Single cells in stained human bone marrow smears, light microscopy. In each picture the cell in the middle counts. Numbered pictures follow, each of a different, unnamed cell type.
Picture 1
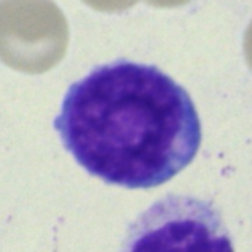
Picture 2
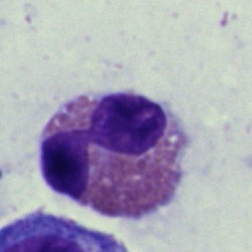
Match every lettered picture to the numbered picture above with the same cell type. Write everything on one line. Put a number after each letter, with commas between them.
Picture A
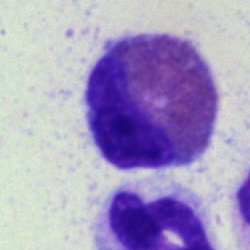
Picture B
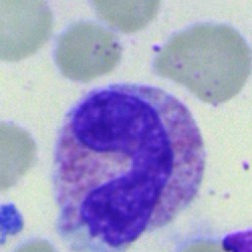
A 2, B 2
